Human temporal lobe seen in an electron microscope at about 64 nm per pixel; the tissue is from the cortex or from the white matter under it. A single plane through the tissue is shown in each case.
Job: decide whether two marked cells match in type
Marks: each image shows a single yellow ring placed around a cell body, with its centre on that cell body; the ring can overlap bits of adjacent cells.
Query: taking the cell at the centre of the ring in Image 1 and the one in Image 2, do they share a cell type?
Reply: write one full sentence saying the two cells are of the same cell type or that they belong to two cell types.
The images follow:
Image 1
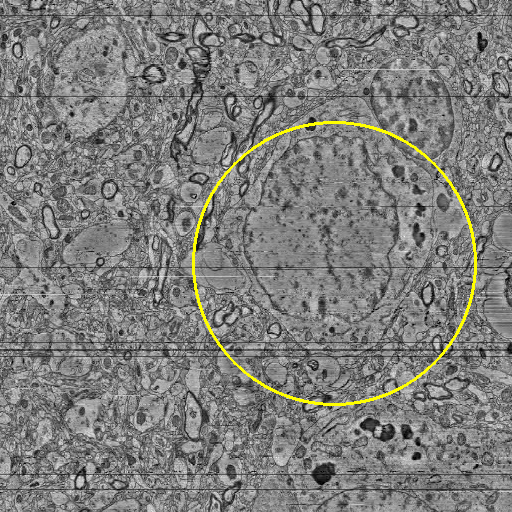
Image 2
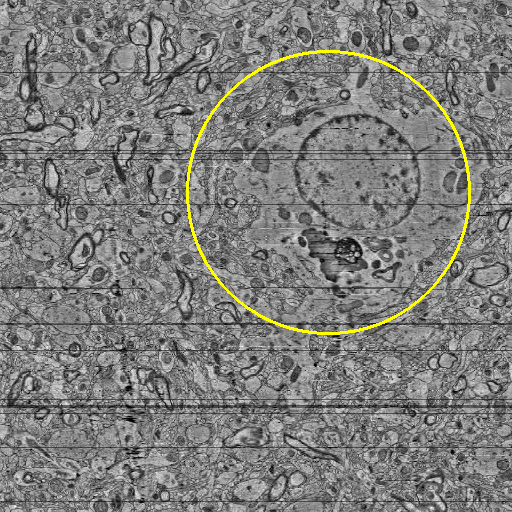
The cells at the ring centres in Image 1 and Image 2 belong to two cell types.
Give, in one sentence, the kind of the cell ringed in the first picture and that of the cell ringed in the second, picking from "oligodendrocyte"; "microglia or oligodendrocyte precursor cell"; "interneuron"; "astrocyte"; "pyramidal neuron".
For the first picture it is an interneuron; for the second, an astrocyte.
